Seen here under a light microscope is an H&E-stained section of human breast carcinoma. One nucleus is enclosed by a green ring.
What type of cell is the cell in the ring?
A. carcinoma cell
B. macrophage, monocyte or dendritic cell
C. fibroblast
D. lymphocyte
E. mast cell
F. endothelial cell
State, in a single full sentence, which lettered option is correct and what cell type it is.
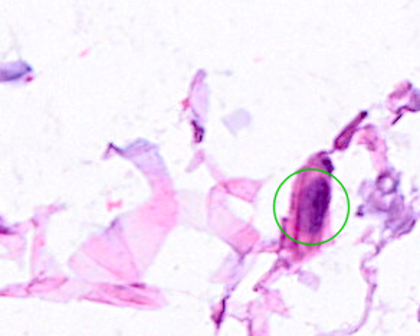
Option F correctly identifies the cell in the ring as an endothelial cell.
